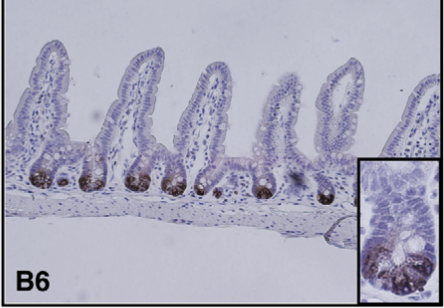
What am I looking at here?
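This is a section of small intestinal wall, with finger-like villi rising from a thin muscular layer and the crypts tucked between their bases. The villi are covered by a single layer of tall columnar cells with blue nuclei lined up near the base, around a loose core of connective tissue. At the bottom of each crypt sits a compact cluster of brown-stained cells, their cytoplasm packed with coarse granules: these are Paneth cells. The inset enlarges one crypt, where the brown granular cells crowd the blind lower end while the cells above them are pale.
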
